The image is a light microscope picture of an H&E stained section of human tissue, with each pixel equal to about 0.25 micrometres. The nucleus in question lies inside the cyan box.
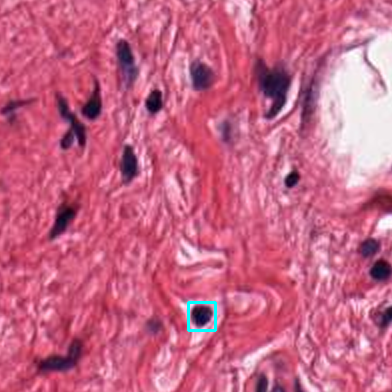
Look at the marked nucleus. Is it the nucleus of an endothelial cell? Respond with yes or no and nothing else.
no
